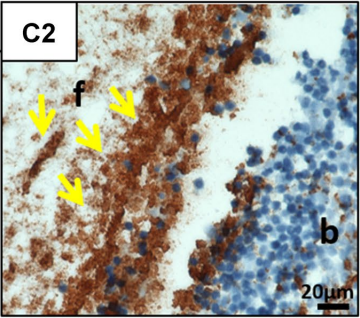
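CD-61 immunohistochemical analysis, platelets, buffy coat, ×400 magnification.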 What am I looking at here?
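On the left a pale fibrous meshwork carries scattered brown granules; toward the middle these gather into a broad, dense brown band running diagonally along the fibrin edge. A pale, nearly empty cleft separates this band from a crowded mass of small round cells on the right, whose nuclei stain blue and which are packed closely together. Some of these blue-nucleated cells also lie within the edge of the brown band.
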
